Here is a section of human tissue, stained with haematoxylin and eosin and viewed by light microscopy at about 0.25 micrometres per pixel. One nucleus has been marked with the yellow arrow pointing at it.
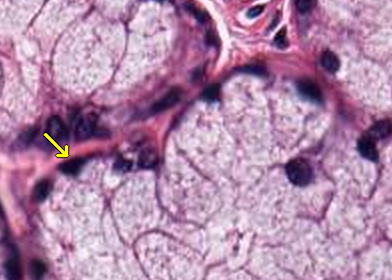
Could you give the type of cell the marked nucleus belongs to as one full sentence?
On this slide, the marked nucleus belongs to a mucous gland cell.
